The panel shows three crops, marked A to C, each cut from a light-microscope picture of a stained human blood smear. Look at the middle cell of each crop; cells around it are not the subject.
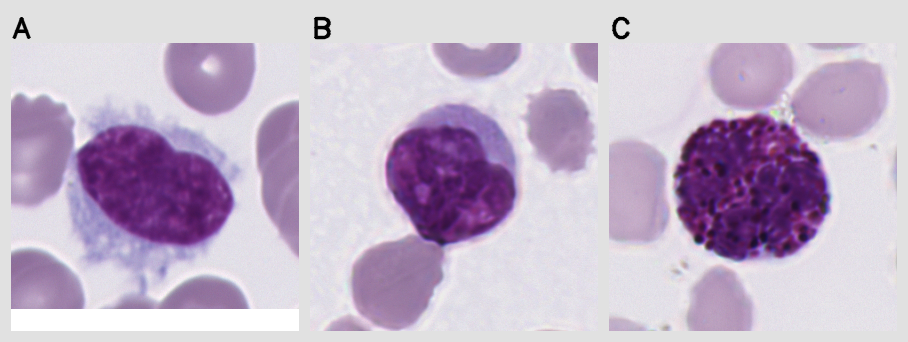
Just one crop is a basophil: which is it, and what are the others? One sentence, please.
Inside crop C there is a basophil, while crop A is a hairy cell and crop B is a plasma cell.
